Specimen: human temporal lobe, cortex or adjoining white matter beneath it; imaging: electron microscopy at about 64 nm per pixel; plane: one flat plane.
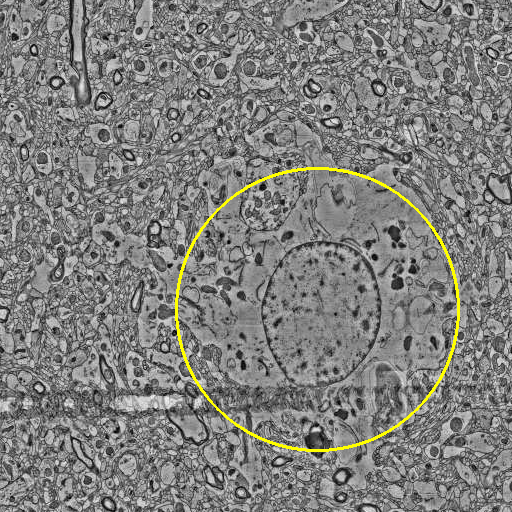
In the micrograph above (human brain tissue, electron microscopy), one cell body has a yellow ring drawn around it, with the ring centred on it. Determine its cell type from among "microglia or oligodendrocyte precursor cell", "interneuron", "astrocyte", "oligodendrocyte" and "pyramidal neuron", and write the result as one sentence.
The cell whose body is ringed is an astrocyte.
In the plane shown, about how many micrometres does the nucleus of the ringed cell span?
In this plane, the nucleus is roughly 9 by 8 micrometres.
